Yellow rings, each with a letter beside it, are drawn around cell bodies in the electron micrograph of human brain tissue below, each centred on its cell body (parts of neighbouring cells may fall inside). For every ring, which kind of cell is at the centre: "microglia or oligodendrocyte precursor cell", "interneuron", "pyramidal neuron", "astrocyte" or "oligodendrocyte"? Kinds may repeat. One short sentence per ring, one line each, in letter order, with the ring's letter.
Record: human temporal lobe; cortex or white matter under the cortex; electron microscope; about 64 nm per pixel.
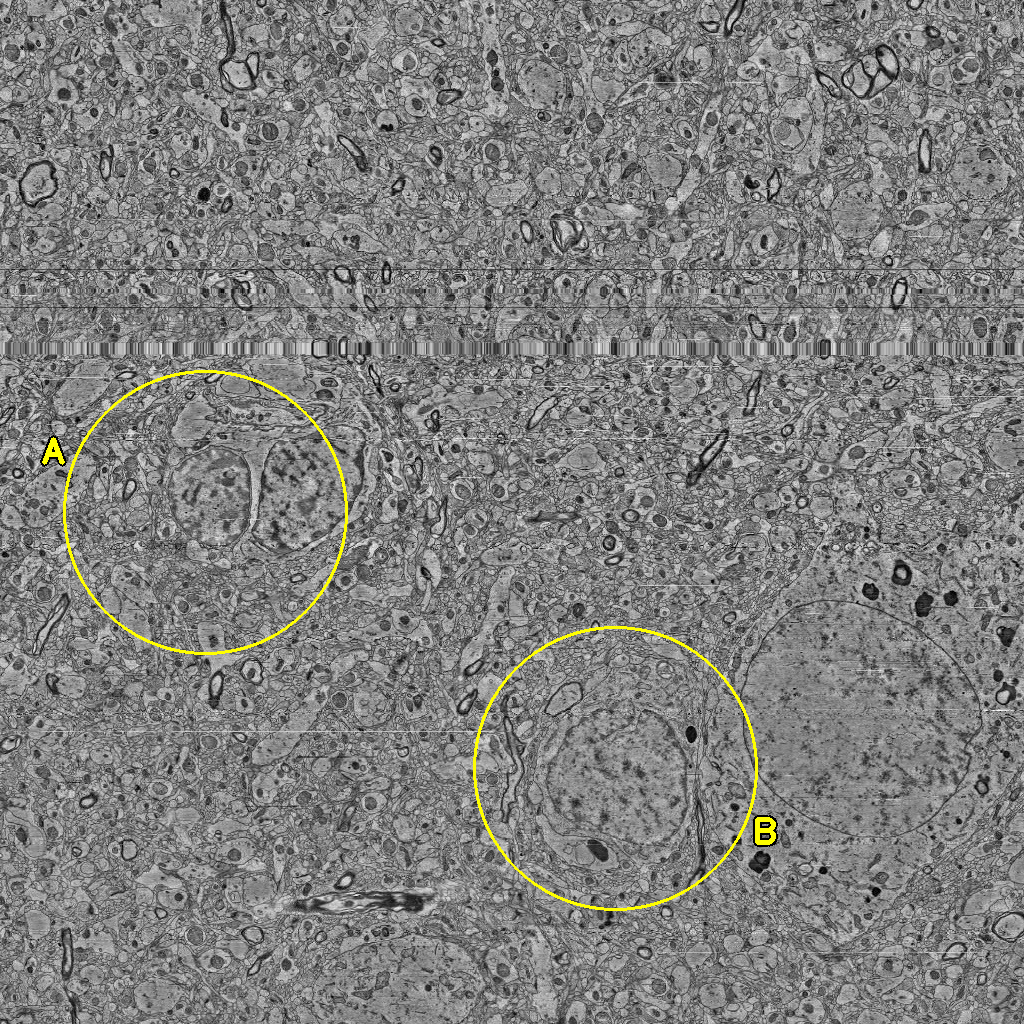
The cell in ring A is an oligodendrocyte.
The cell in ring B is an interneuron.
